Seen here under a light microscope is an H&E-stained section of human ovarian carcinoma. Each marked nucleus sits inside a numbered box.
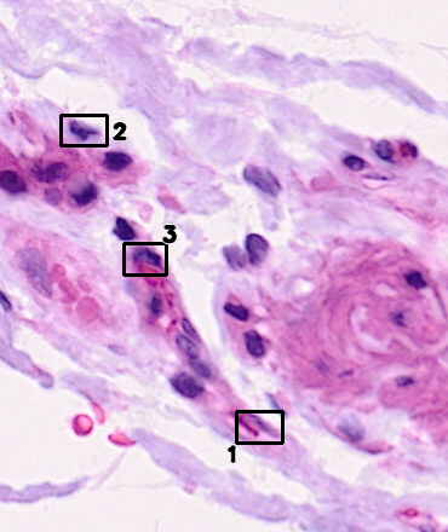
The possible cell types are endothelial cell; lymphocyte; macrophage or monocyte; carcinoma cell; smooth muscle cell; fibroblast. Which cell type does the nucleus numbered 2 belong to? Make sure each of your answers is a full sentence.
The cell pointed out as number 2 is a fibroblast.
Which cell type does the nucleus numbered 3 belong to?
Cell 3, among those numbered, is an endothelial cell.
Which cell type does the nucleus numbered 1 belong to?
Nucleus 1 in this section belongs to an endothelial cell.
